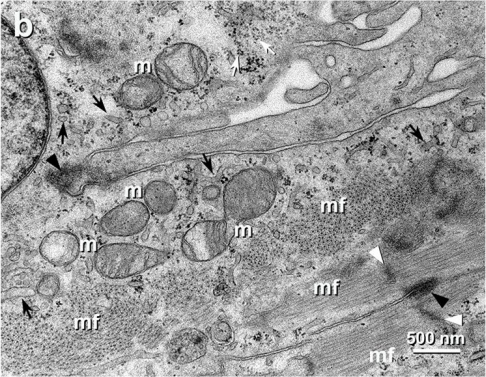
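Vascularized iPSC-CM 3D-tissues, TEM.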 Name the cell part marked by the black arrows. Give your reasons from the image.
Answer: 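Sarcoplasmic reticula. Small membrane-bound tubules and vesicles lie among the mitochondria and filaments.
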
